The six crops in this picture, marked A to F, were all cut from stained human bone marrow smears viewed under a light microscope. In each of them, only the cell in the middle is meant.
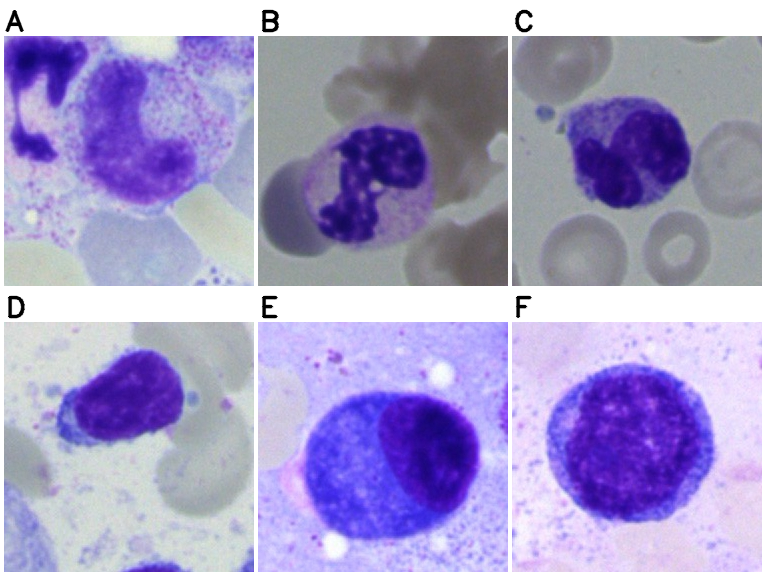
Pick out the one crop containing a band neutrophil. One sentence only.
Crop A alone, of all the crops, shows a band neutrophil.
